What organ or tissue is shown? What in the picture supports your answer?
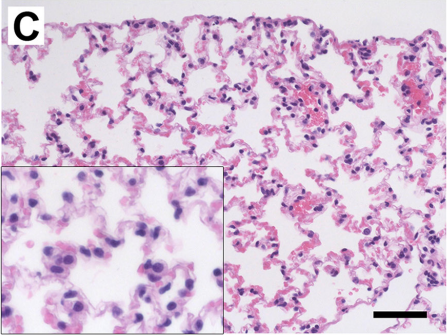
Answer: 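A smooth pleural surface runs along the top edge. Below it lies a lace-like network of thin alveolar septa around open air spaces. That points to this answer: subpleural parenchyma.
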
